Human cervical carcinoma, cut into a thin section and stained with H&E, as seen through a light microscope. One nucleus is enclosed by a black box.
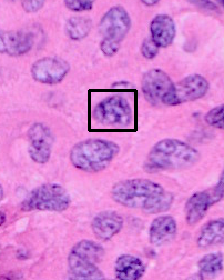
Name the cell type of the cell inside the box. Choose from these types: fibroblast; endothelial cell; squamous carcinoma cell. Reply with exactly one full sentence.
Cytologically, the cell inside the box is to be regarded as a squamous carcinoma cell.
